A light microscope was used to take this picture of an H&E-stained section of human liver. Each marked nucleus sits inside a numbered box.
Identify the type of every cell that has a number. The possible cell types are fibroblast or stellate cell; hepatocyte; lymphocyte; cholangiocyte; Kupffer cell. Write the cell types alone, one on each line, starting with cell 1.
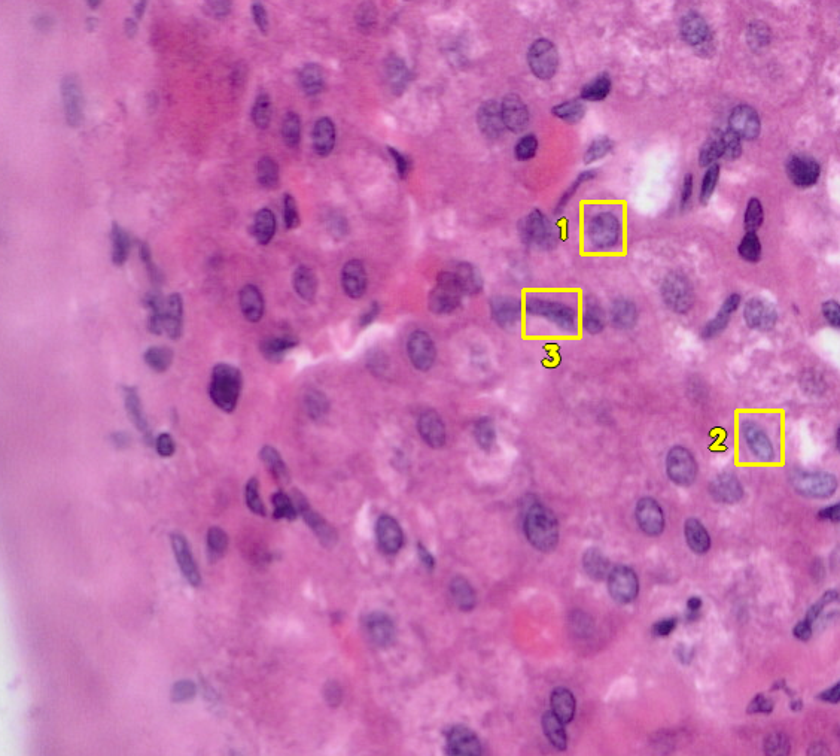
hepatocyte
cholangiocyte
fibroblast or stellate cell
